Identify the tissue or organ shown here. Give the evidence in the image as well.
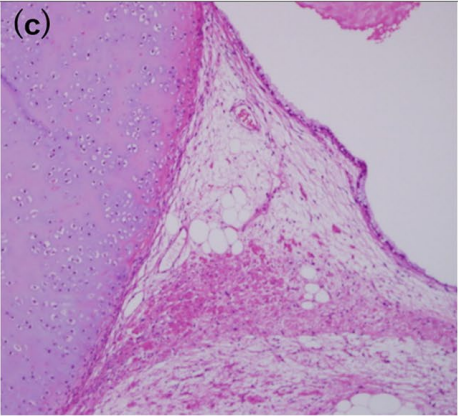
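A large pale pink-purple matrix area on the left holds scattered cells in lacunae. Clear round empty fat vacuoles lie in the loose stroma beside it.
Answer: cartilage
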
